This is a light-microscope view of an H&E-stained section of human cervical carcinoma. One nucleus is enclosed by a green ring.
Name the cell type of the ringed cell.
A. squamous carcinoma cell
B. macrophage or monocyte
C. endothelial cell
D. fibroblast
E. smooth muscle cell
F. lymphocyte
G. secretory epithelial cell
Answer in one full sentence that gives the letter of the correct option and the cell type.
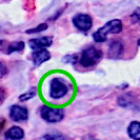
Settle on option F; the ringed cell is a lymphocyte.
